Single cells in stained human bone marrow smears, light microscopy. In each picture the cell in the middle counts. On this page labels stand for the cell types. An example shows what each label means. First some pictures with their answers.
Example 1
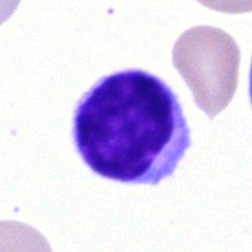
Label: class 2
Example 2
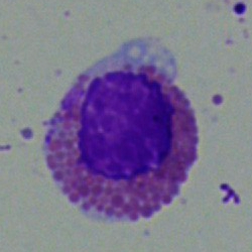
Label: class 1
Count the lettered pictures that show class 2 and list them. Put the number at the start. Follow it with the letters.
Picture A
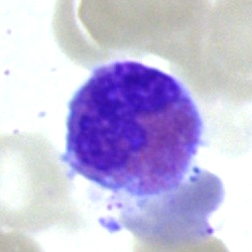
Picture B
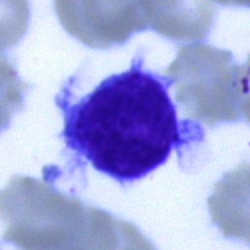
1, namely B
